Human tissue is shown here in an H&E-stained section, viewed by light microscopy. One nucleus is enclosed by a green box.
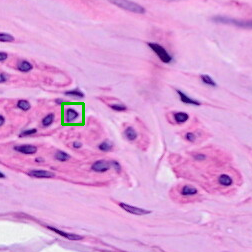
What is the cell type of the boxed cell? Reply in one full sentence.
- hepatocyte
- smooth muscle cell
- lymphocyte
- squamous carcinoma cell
The boxed cell is a smooth muscle cell.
